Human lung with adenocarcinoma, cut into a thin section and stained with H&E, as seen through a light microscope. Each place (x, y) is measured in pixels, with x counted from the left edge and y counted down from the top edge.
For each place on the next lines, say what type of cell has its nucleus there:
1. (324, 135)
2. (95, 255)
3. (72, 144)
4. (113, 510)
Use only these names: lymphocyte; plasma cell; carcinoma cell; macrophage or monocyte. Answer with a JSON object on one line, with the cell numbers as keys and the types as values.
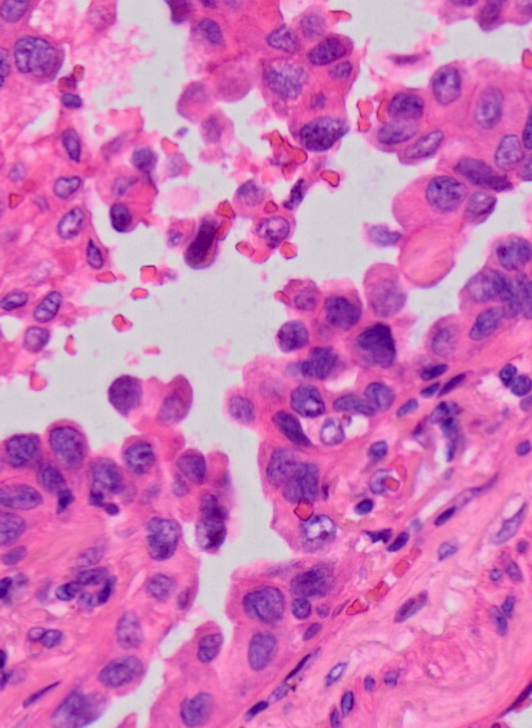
{"1": "carcinoma cell", "2": "macrophage or monocyte", "3": "macrophage or monocyte", "4": "lymphocyte"}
